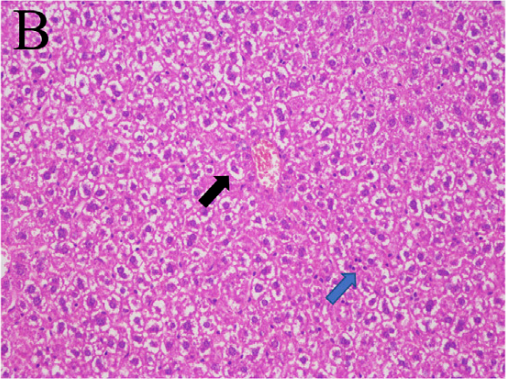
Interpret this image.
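This is liver tissue in which nearly all hepatocytes look pale and swollen, with their cytoplasm broken up into clear, empty-looking spaces. The pink cytoplasm is reduced to thin strands, so the field takes on a lacy, reticulated appearance, and the normal radiating cords are hard to follow. Nuclei persist as purple dots in the middle of the pale cells. A small vessel near the centre holds red blood cells. These clear cytoplasmic spaces throughout the hepatocytes amount to widespread vacuolization.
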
